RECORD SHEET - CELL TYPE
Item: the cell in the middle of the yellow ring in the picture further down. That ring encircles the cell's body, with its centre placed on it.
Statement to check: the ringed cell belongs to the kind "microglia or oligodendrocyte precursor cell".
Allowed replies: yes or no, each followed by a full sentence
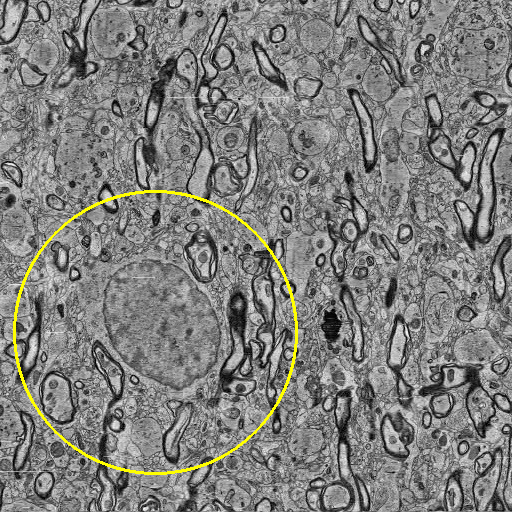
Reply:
No, the cell held at the centre of the ring in the picture is of a different kind.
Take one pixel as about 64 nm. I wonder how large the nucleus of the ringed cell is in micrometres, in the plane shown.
About 9 by 7 micrometers, in this plane.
